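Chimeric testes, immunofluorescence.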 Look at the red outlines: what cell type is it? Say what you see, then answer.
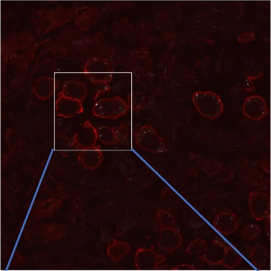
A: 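Red rims outline scattered large round cells. The outlined cells are separated by weakly stained tissue. The answer: germ cell.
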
